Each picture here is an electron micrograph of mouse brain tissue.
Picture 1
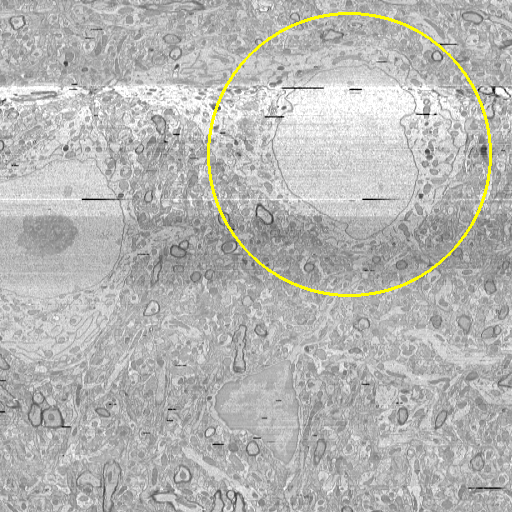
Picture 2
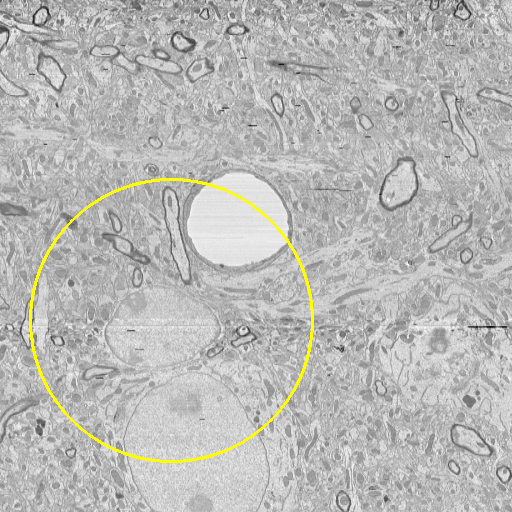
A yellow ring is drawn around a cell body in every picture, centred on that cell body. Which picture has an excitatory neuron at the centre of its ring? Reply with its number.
1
